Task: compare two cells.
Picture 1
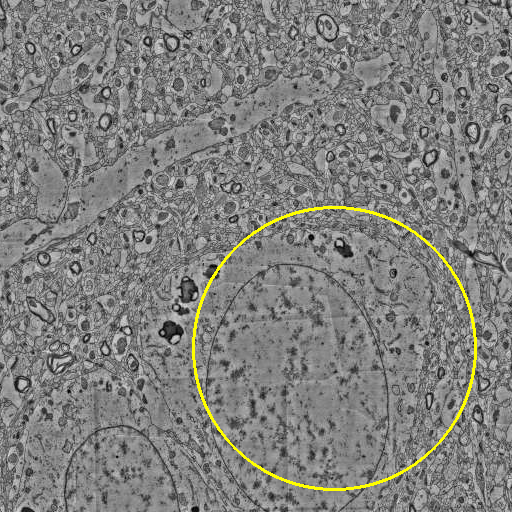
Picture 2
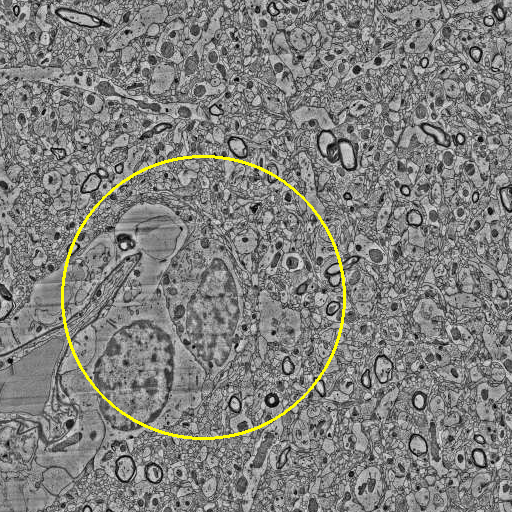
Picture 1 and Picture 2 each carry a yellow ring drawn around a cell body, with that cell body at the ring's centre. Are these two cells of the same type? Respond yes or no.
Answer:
no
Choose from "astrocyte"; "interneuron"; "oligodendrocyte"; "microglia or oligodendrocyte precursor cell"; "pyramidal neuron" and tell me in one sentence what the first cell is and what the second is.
What the first ring is centred on is a pyramidal neuron; what the second ring is centred on is an oligodendrocyte.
